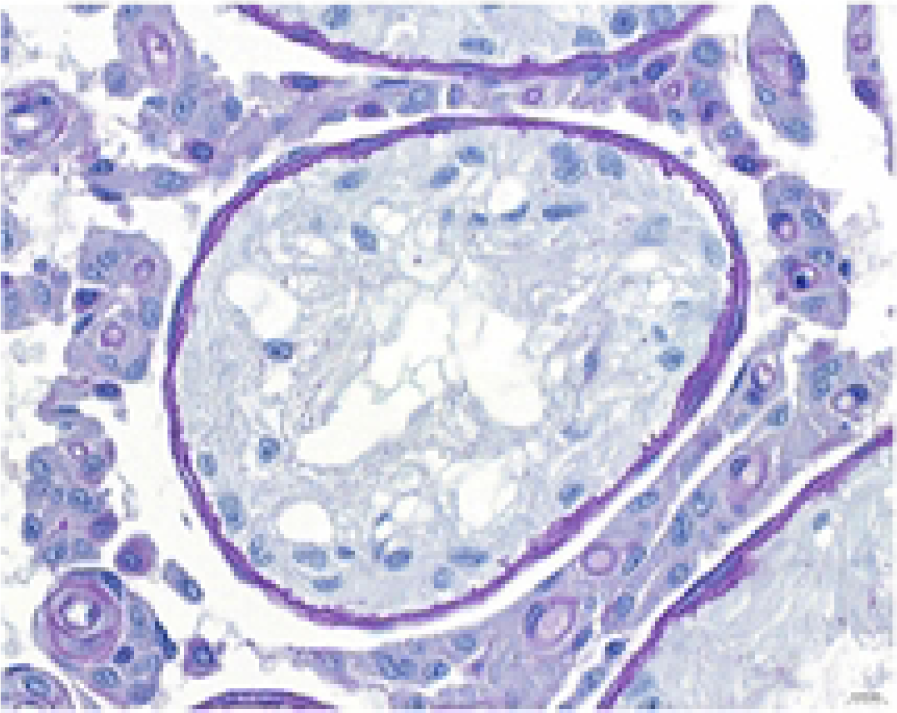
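This seminiferous tubule is atrophic: the many-layered germinal epithelium is gone, leaving only a sparse lining of pale cells with faint cytoplasm, scattered nuclei and large clear vacuoles. No layered germ cells or spermatids line the lumen, which is irregular and filled with pale wispy material. The tubule is bounded by a thick, wavy, magenta basement membrane. Around it lie interstitial cells with rounded nuclei and small vessels with magenta-stained walls, and parts of neighbouring tubules.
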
